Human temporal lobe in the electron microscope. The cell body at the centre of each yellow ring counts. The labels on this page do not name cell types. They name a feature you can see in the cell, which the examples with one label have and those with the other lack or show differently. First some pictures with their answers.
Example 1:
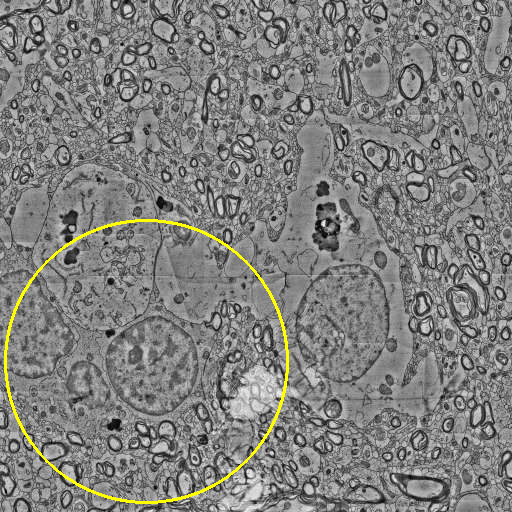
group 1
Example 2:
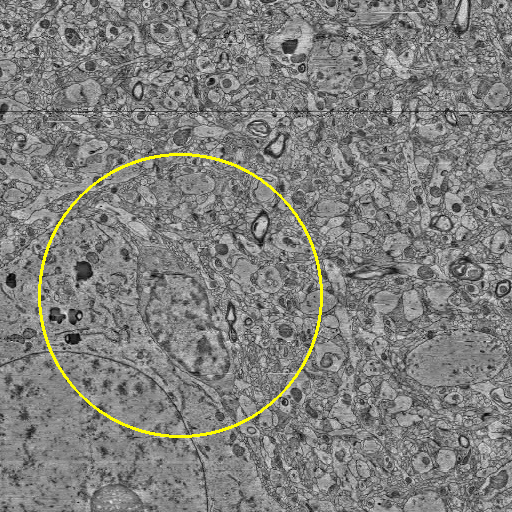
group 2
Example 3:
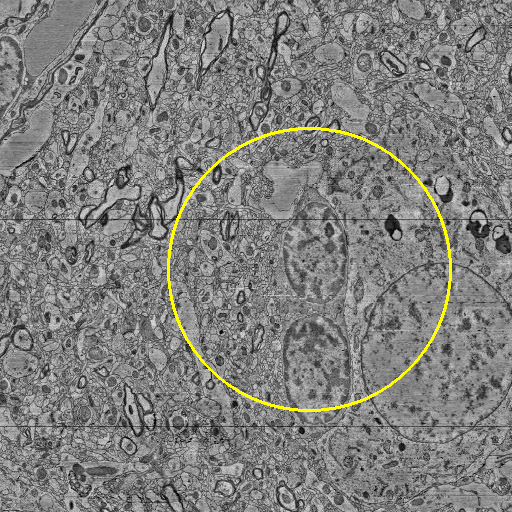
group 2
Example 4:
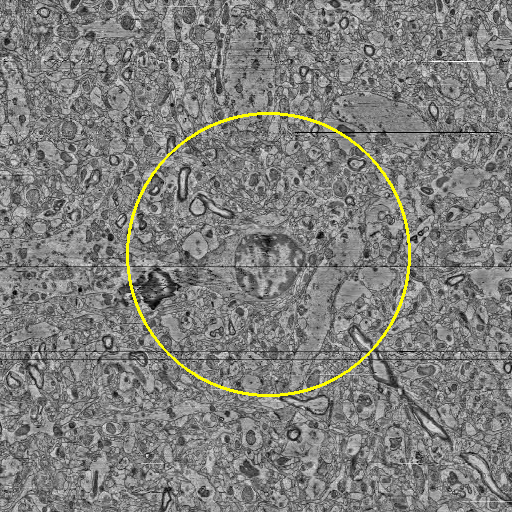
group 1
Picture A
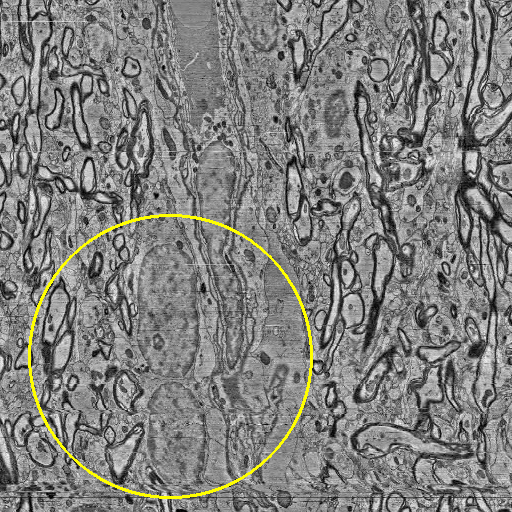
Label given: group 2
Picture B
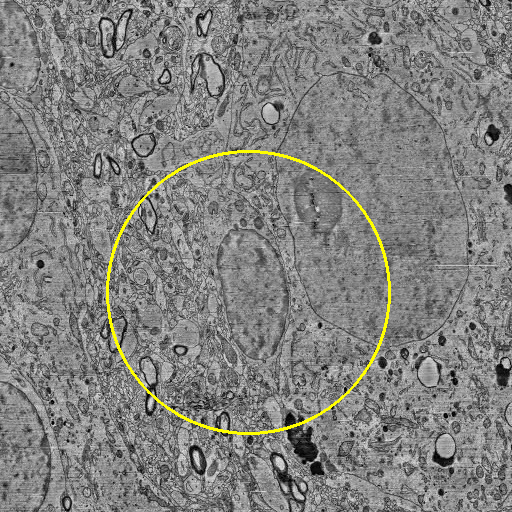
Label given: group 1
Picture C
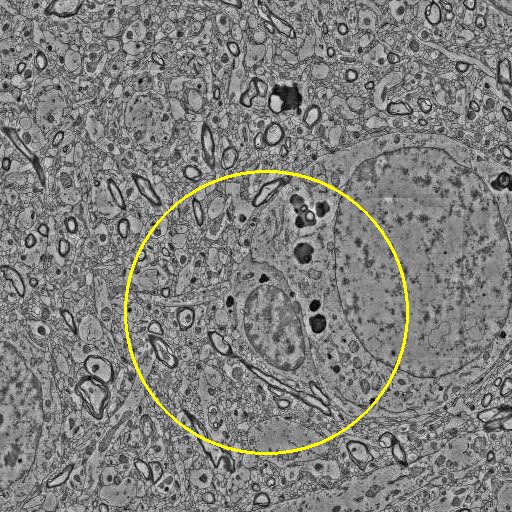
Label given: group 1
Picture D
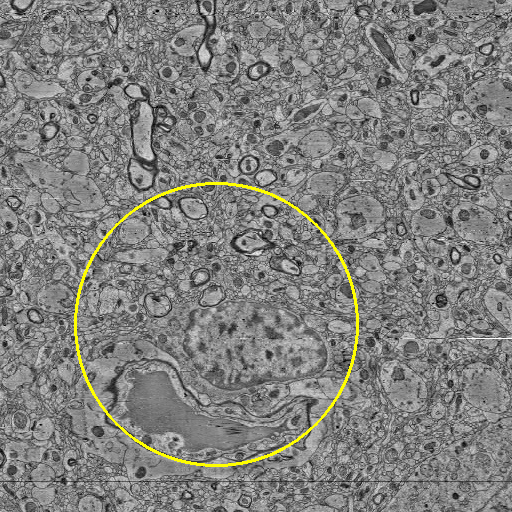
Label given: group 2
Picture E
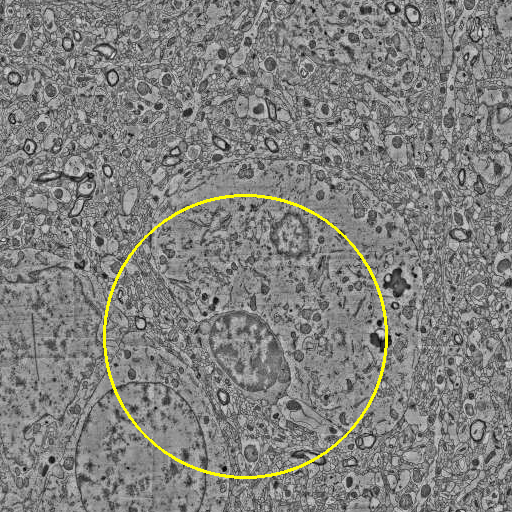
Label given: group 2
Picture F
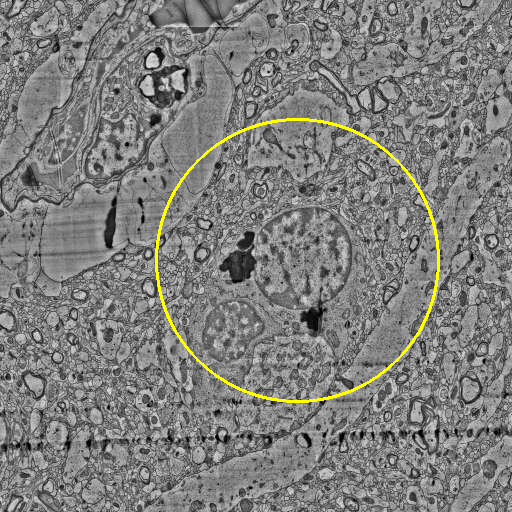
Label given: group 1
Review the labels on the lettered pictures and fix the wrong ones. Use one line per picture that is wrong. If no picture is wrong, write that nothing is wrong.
B should be group 2, not group 1
C should be group 2, not group 1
